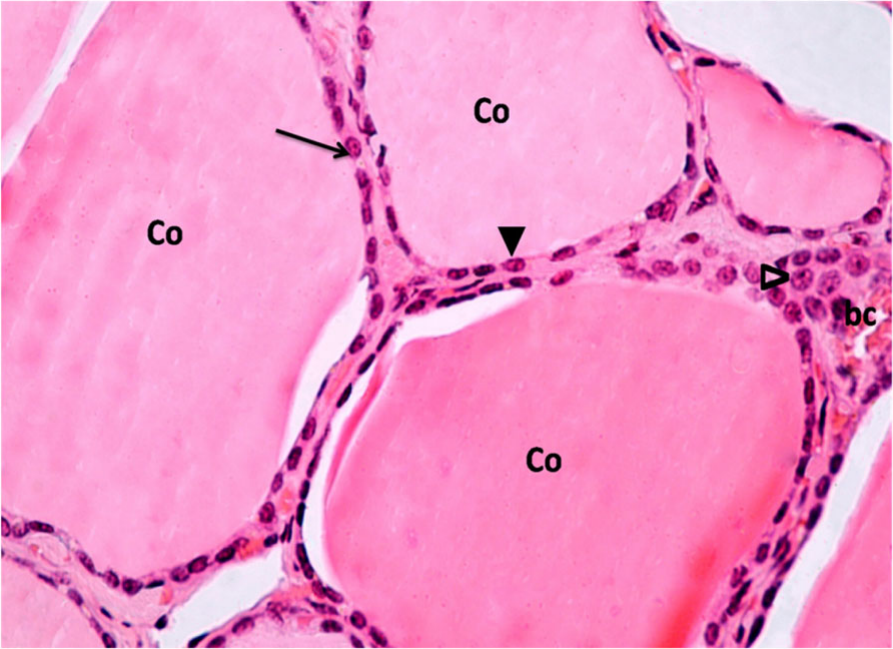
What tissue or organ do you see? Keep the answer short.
Thyroid gland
